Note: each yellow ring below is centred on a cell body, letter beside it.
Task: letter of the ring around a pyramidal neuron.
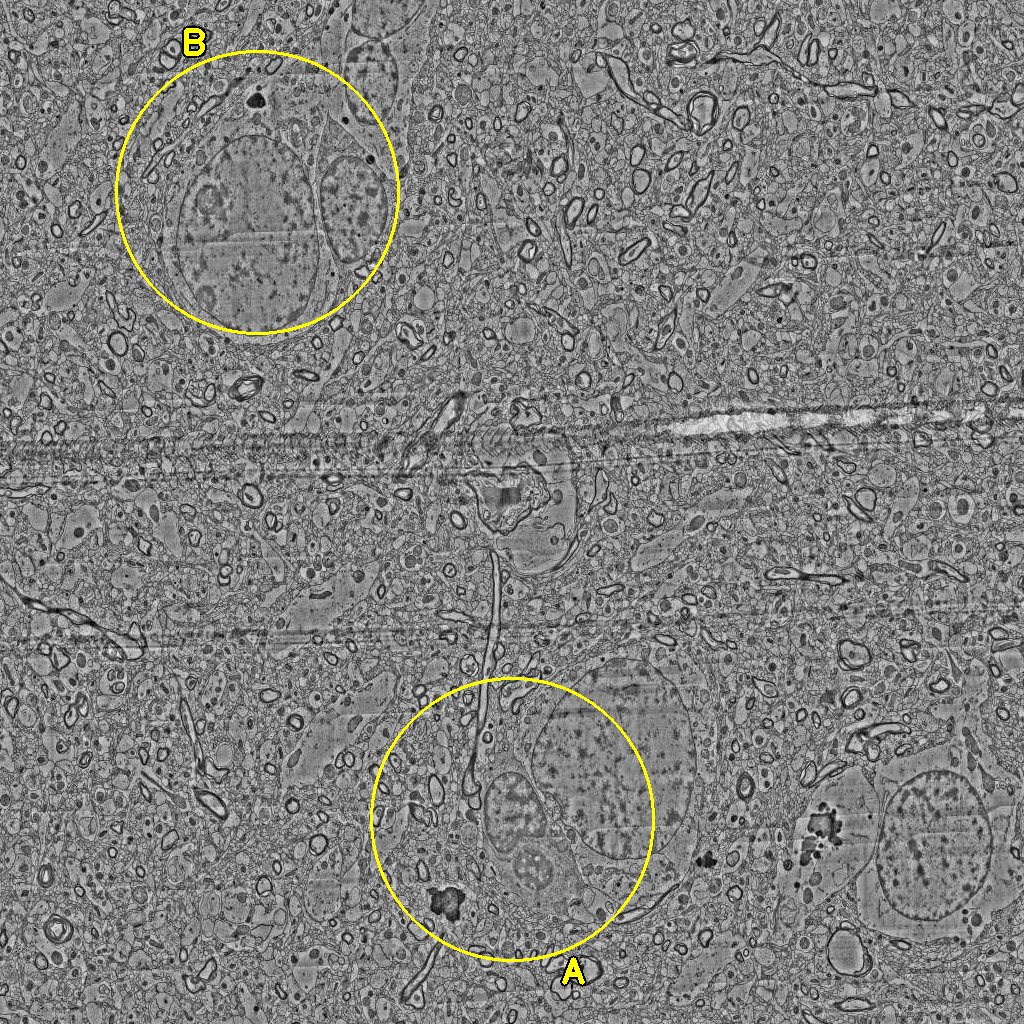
B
